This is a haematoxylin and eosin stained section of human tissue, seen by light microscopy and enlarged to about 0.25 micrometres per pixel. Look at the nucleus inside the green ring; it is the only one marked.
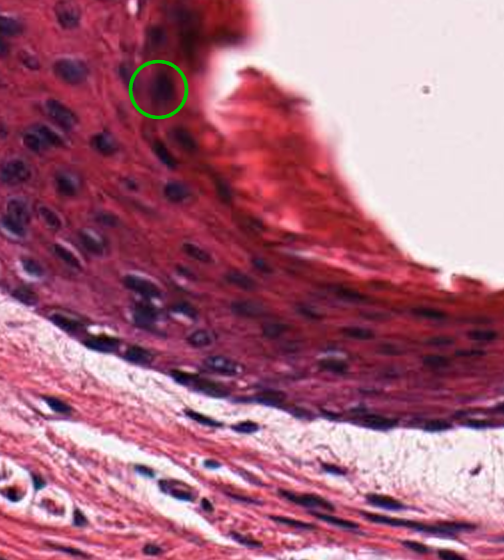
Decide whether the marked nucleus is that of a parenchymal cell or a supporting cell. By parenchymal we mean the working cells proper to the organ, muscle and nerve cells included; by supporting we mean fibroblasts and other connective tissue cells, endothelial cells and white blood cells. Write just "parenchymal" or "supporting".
parenchymal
